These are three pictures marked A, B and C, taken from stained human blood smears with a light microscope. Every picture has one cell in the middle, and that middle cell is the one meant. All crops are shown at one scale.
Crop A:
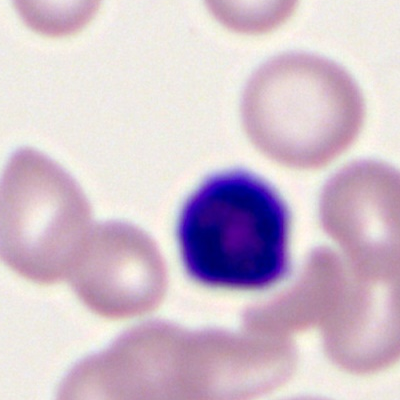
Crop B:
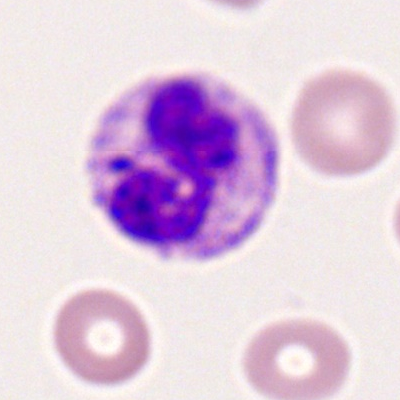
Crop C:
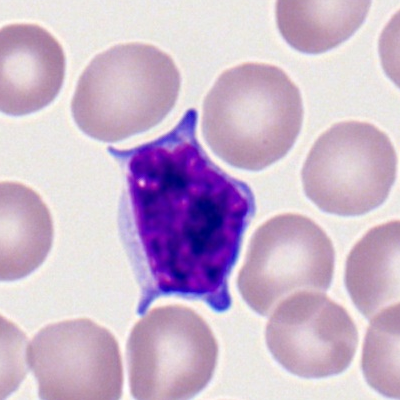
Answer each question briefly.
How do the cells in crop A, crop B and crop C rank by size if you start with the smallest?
A, C, B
